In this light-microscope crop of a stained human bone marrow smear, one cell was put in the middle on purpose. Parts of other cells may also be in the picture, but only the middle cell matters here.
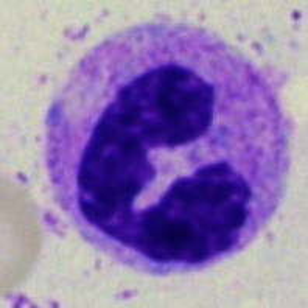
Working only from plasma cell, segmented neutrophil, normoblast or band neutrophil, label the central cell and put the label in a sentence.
To answer, the cell in the center of the crop is a segmented neutrophil.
